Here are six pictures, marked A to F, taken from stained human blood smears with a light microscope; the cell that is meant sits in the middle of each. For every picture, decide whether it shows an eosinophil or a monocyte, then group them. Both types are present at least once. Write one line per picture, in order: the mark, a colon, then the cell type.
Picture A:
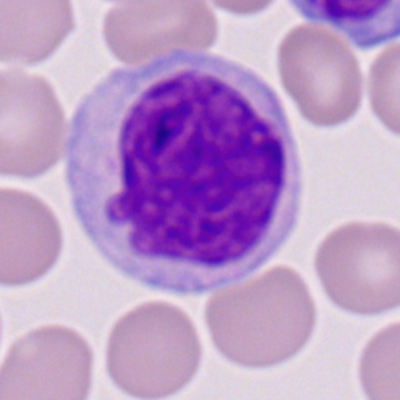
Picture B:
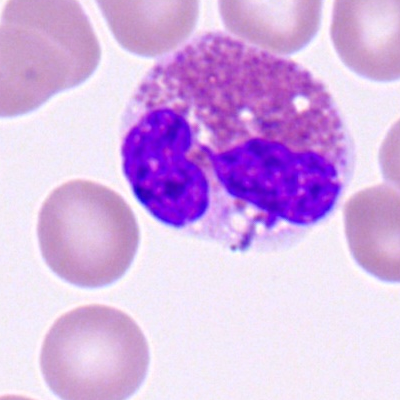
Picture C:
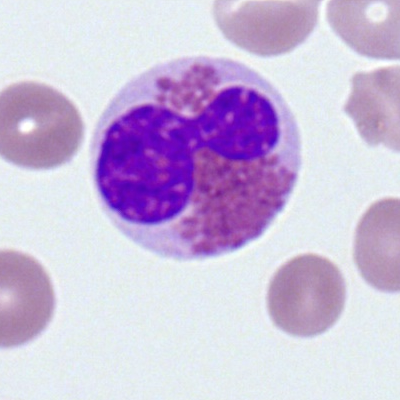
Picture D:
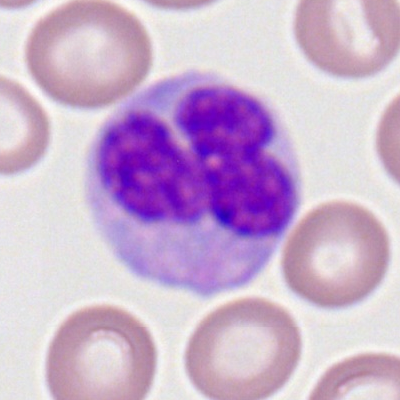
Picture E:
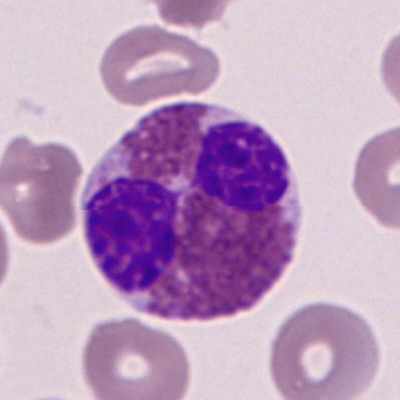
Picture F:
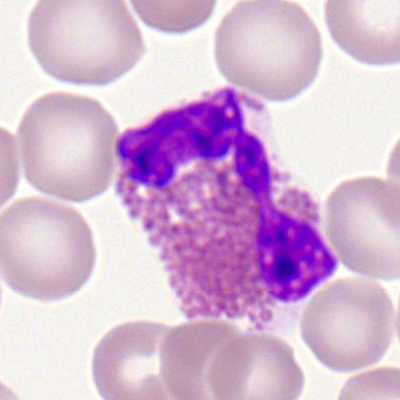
A: monocyte
B: eosinophil
C: eosinophil
D: monocyte
E: eosinophil
F: eosinophil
